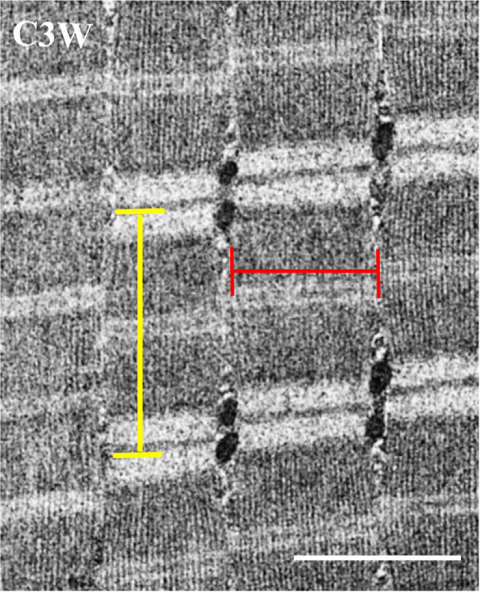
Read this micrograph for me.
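This is a longitudinal section through muscle, showing myofibrils as bands of fine parallel filaments crossed by regularly spaced pale transverse bands that divide them into repeating sarcomeres. Neighbouring myofibrils are separated by thin longitudinal seams in which small dark, rounded bodies lie in rows.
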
